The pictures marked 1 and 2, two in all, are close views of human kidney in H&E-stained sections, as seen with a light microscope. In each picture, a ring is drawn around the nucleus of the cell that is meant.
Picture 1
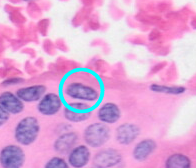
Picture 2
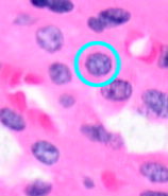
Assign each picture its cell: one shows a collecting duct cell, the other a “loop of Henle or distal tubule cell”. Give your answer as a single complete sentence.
The cell in picture 1 is a collecting duct cell, and the one in picture 2 is a “loop of Henle or distal tubule cell”.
